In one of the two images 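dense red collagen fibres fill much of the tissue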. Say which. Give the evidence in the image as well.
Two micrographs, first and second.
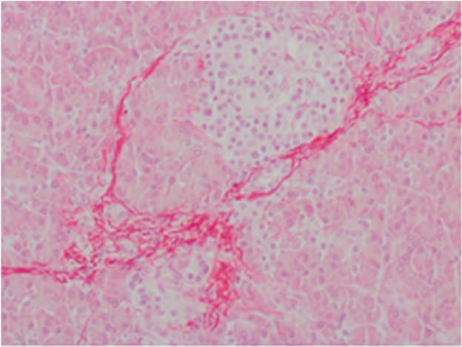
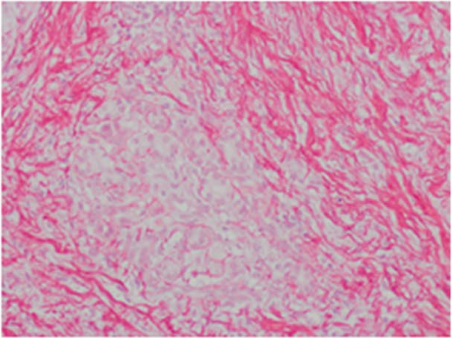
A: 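Second image: thick, wavy red fibres form a dense meshwork across large parts of the field. First image: only a few thin red strands run between broad areas of pink cells.
Hence: the second image.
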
